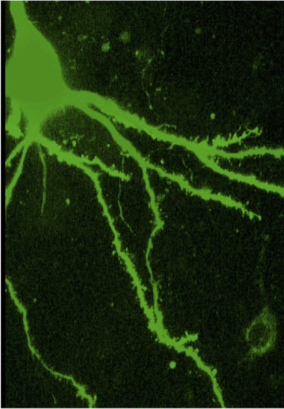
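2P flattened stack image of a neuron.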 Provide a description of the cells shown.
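A bright green cell body sits at the upper left, from which several long processes fan out downward and to the right. The processes branch repeatedly, thin out toward their ends, and carry small protrusions along their edges. Faint dim structures lie scattered in the dark background around them.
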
